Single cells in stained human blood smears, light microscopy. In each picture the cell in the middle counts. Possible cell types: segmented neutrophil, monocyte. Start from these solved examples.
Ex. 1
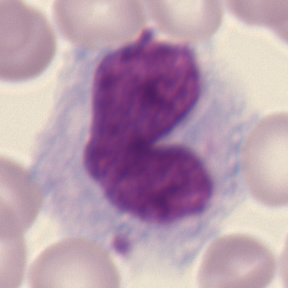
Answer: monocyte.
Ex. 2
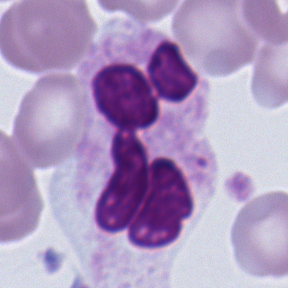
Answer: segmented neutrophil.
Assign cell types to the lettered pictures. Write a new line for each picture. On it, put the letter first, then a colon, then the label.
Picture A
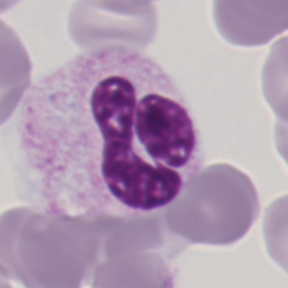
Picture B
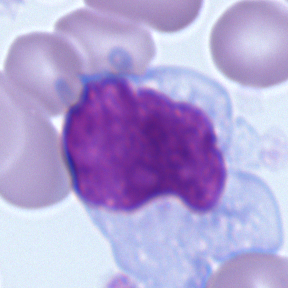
A: segmented neutrophil.
B: monocyte.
